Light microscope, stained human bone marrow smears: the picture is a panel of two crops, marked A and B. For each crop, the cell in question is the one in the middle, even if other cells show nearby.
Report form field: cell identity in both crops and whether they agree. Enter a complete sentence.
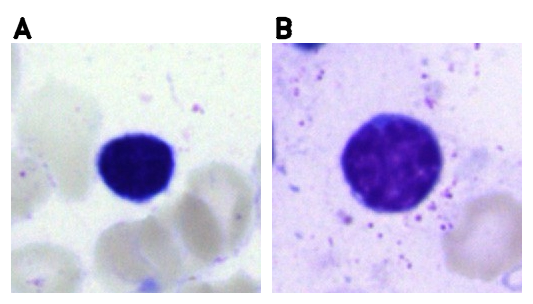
Yes, both crops contain lymphocytes at their centres.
